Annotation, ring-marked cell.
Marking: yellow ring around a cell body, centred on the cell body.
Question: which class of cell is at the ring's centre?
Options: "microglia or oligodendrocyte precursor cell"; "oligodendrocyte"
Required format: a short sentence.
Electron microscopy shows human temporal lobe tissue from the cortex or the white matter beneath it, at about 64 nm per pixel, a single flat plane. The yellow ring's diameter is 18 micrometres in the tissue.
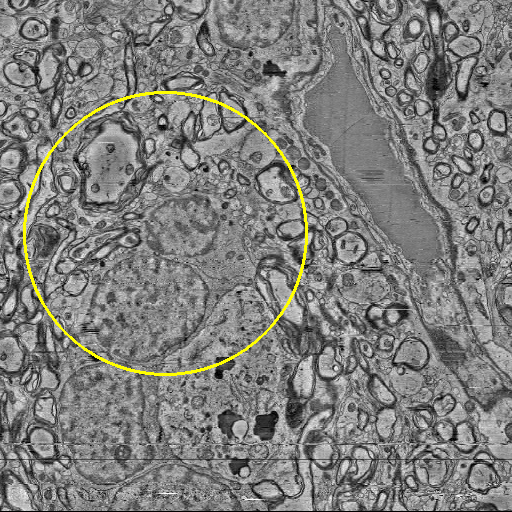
At the ring's centre is an oligodendrocyte.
